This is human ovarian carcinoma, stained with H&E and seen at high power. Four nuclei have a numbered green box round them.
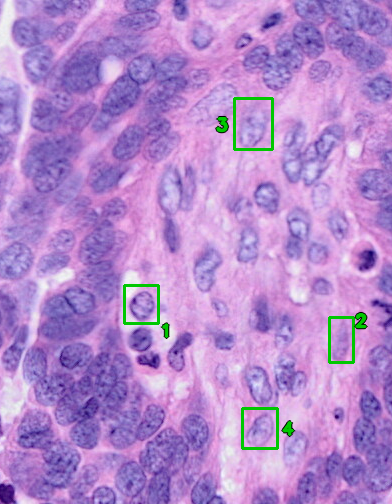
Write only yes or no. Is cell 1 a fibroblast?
no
